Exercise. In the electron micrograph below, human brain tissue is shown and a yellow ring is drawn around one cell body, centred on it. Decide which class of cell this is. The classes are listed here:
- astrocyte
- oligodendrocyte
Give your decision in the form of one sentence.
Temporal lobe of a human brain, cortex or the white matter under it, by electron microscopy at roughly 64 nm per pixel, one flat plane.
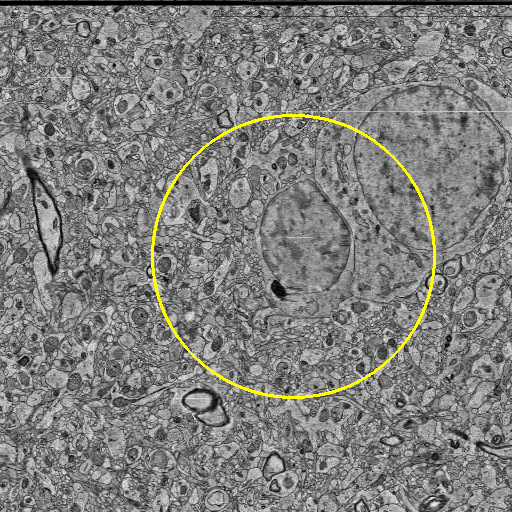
The cell body marked by the ring belongs to an oligodendrocyte.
